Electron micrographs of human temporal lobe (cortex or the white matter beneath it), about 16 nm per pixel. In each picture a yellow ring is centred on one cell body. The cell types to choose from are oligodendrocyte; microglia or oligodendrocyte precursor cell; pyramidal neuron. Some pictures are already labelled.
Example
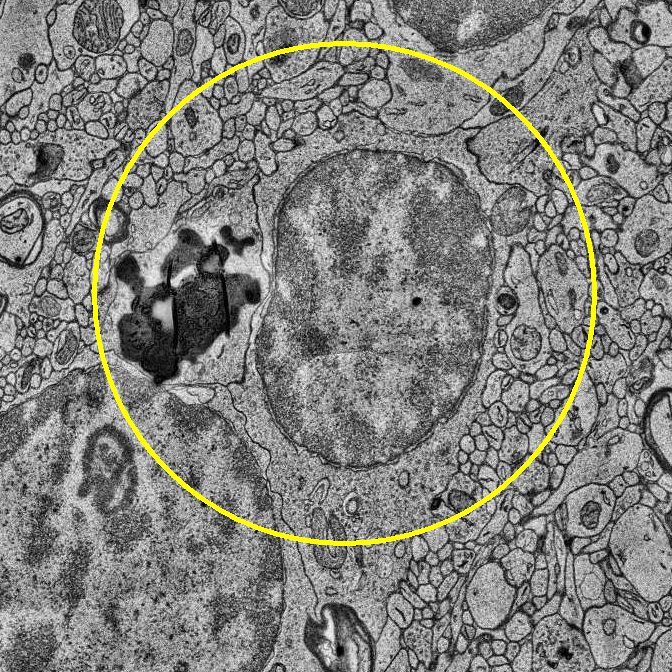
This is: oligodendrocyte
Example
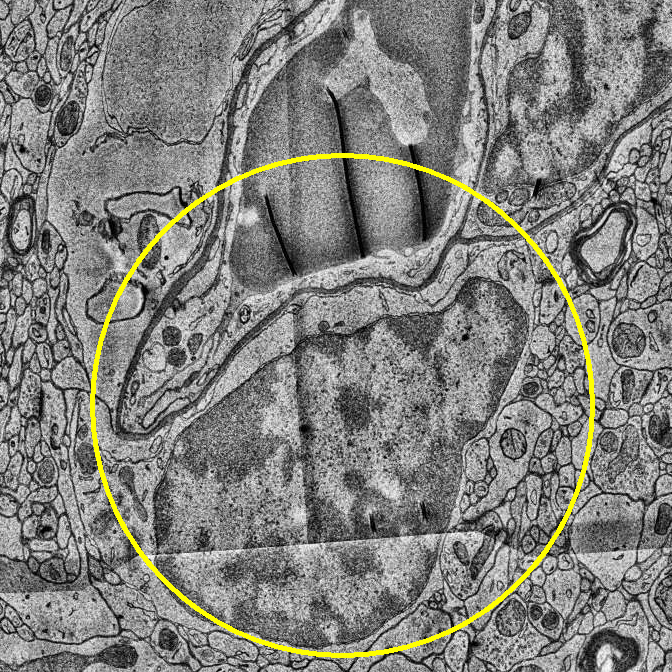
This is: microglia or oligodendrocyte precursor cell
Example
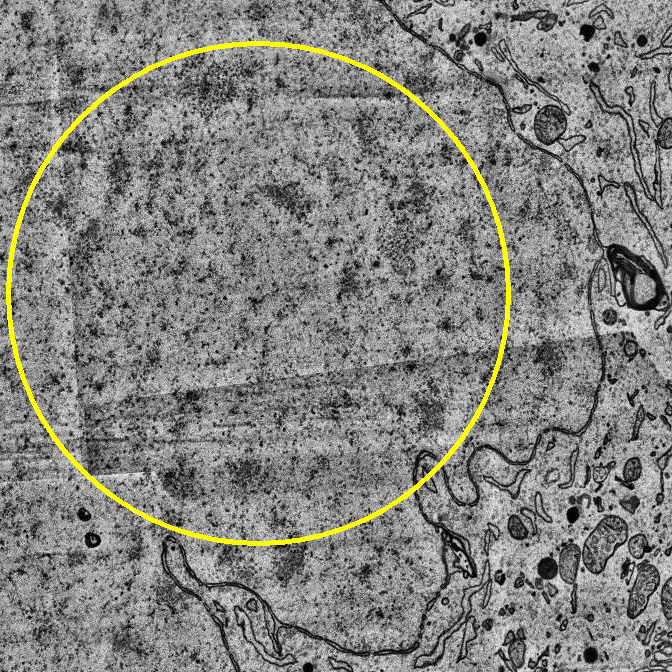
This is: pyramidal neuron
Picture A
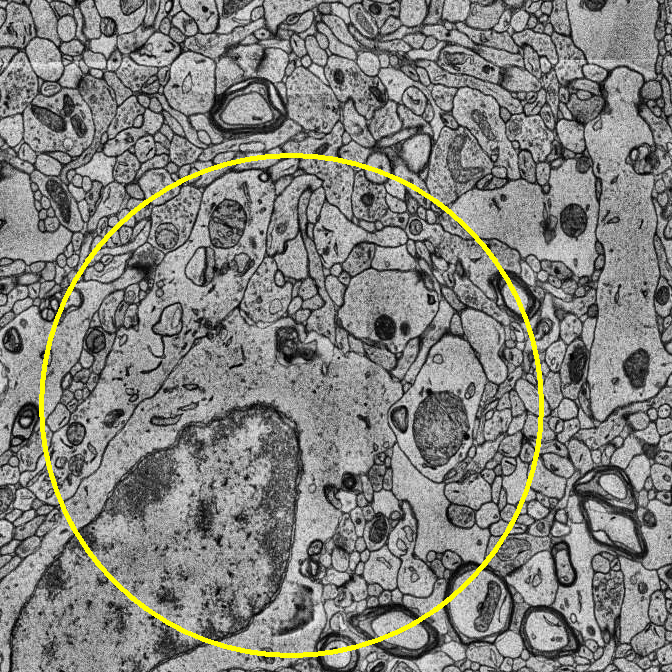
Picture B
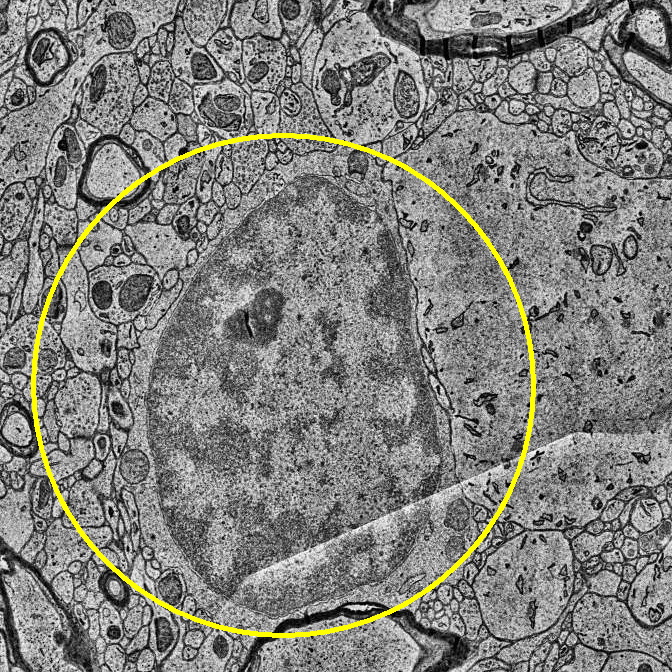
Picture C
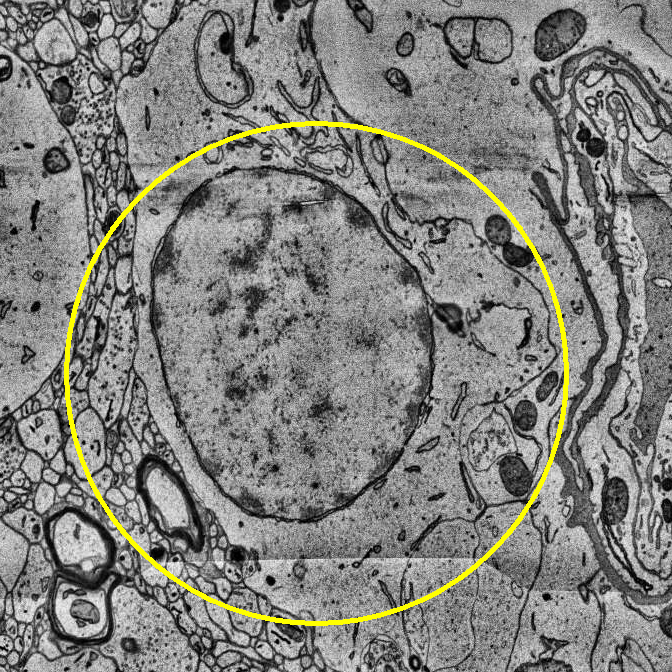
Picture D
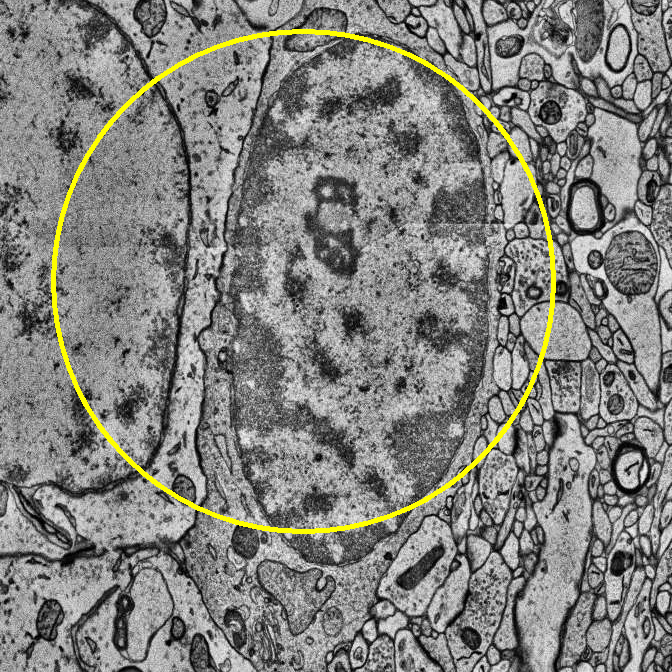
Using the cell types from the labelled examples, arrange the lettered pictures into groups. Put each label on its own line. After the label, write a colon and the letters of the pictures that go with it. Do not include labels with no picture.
oligodendrocyte: B, D
microglia or oligodendrocyte precursor cell: A, C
